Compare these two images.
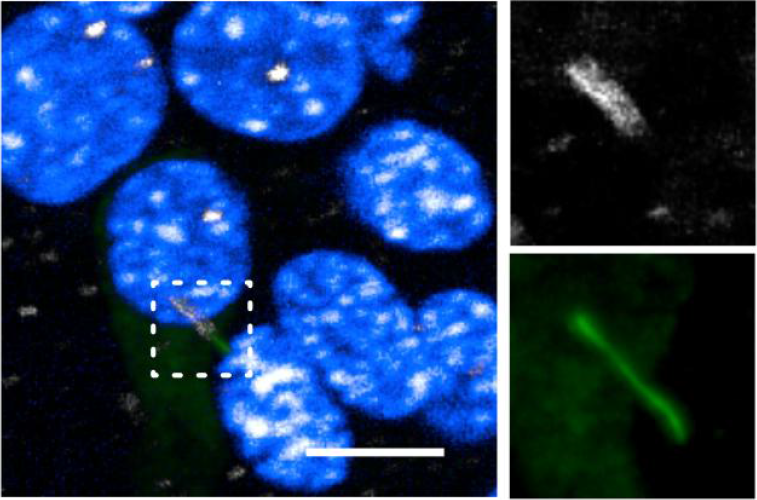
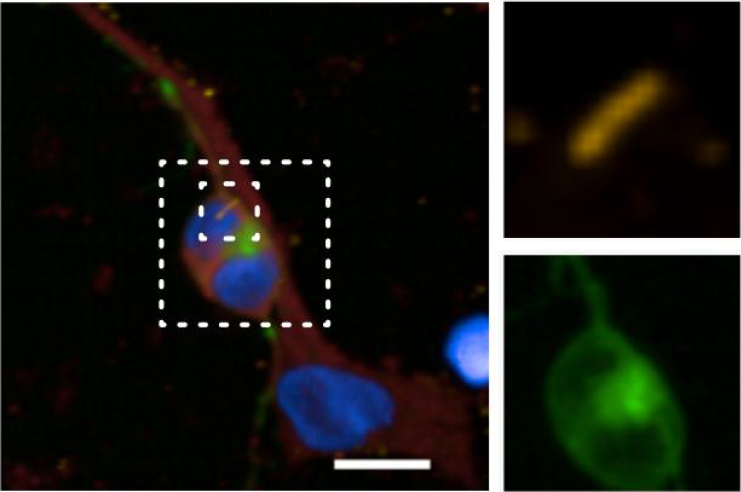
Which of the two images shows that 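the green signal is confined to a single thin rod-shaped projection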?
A: The first image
